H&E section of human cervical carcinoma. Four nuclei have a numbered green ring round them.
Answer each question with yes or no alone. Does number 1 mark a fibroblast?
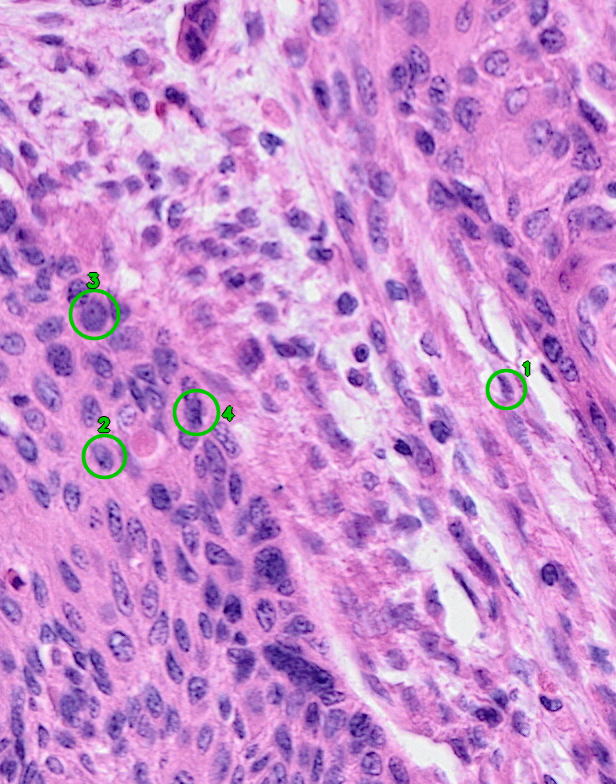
yes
